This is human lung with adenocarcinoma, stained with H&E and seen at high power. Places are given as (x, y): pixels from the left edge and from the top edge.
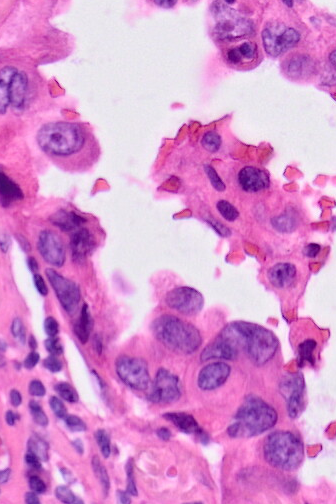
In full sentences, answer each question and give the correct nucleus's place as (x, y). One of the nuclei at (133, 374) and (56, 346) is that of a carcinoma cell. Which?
The member of the pair belonging to a carcinoma cell is the nucleus at (133, 374).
